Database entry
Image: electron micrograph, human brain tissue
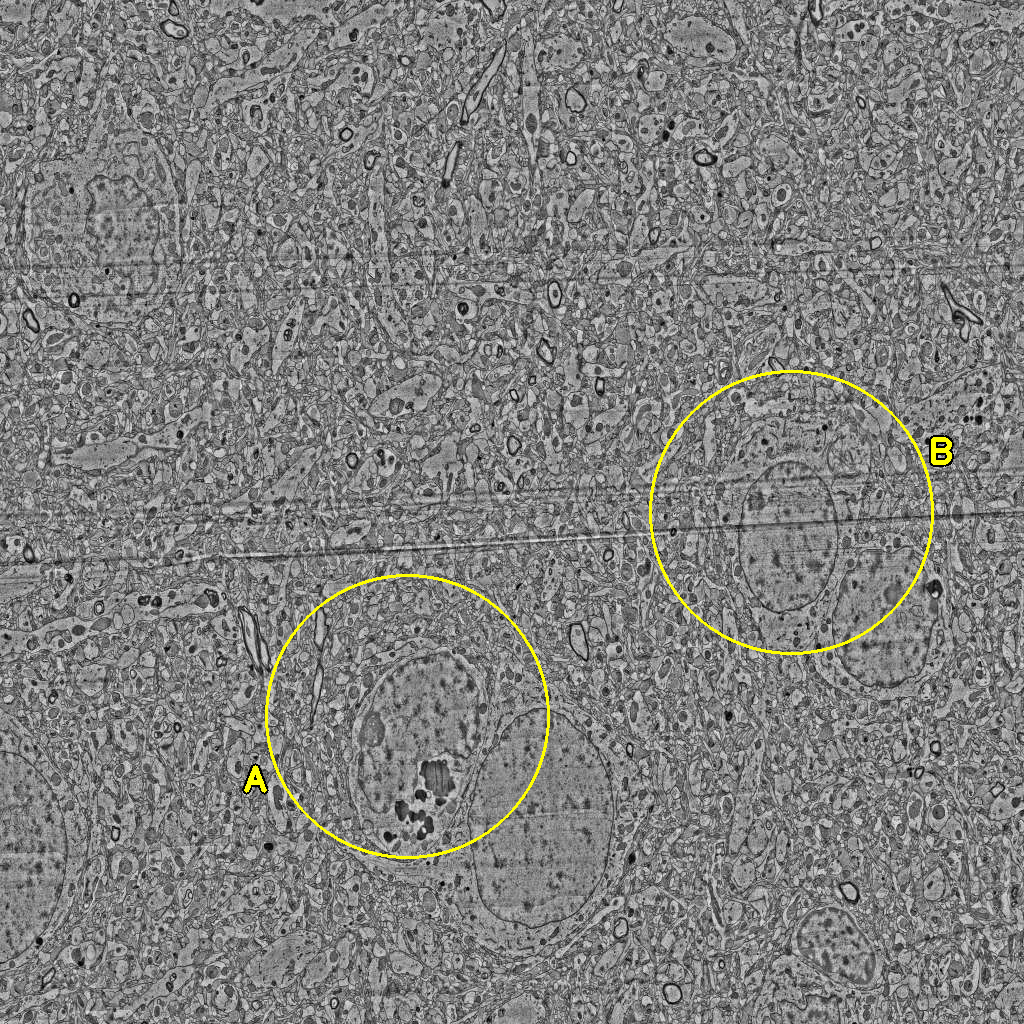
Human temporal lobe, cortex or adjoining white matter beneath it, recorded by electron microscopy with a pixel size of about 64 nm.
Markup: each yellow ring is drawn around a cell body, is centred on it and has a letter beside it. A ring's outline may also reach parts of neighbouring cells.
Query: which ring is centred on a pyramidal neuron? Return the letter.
B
